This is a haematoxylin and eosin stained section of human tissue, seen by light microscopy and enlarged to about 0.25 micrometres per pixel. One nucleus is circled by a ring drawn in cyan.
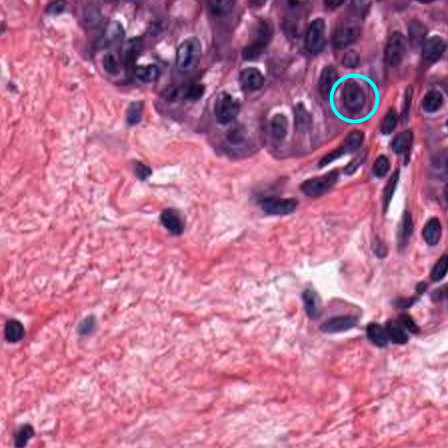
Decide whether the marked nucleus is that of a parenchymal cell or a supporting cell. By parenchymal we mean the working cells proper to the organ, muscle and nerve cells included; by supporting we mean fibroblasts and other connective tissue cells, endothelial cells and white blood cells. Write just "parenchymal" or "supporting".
parenchymal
